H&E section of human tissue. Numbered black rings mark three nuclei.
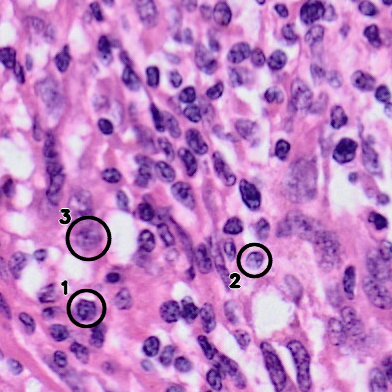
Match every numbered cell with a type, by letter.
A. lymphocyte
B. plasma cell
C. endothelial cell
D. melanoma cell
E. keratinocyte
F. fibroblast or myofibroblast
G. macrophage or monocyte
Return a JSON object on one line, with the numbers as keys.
{"1": "A", "2": "A", "3": "D"}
